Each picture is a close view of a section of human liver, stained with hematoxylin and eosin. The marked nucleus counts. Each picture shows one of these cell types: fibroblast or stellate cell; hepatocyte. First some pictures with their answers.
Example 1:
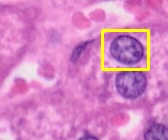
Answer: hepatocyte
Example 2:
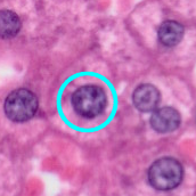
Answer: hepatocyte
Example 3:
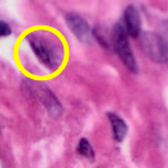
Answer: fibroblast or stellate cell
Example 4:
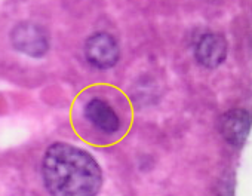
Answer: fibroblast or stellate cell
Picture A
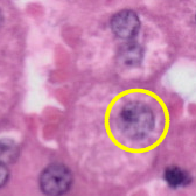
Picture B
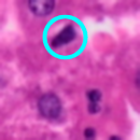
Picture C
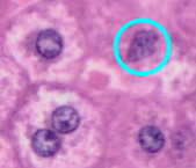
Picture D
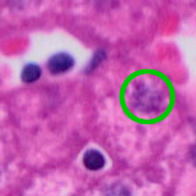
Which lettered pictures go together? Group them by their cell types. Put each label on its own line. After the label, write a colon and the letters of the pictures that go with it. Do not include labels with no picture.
fibroblast or stellate cell: B, C
hepatocyte: A, D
